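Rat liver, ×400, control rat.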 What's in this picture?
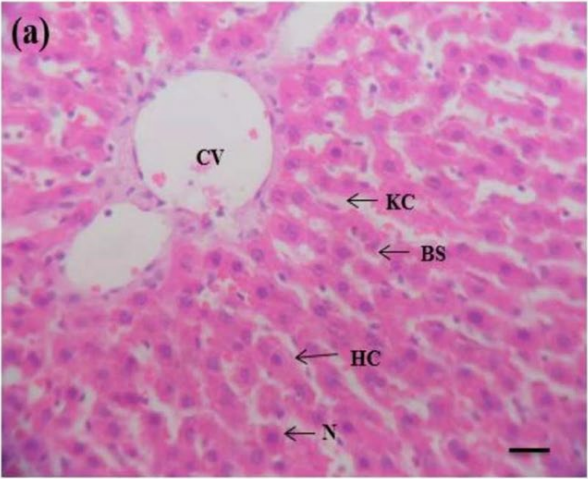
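The hepatic cells have evenly pink cytoplasm and round, centrally located purple nuclei, and small elongated dark nuclei of Kupffer cells lie along the sinusoids. The central vein is a large clear lumen holding a few red blood cells, with a second clear vessel beside it.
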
